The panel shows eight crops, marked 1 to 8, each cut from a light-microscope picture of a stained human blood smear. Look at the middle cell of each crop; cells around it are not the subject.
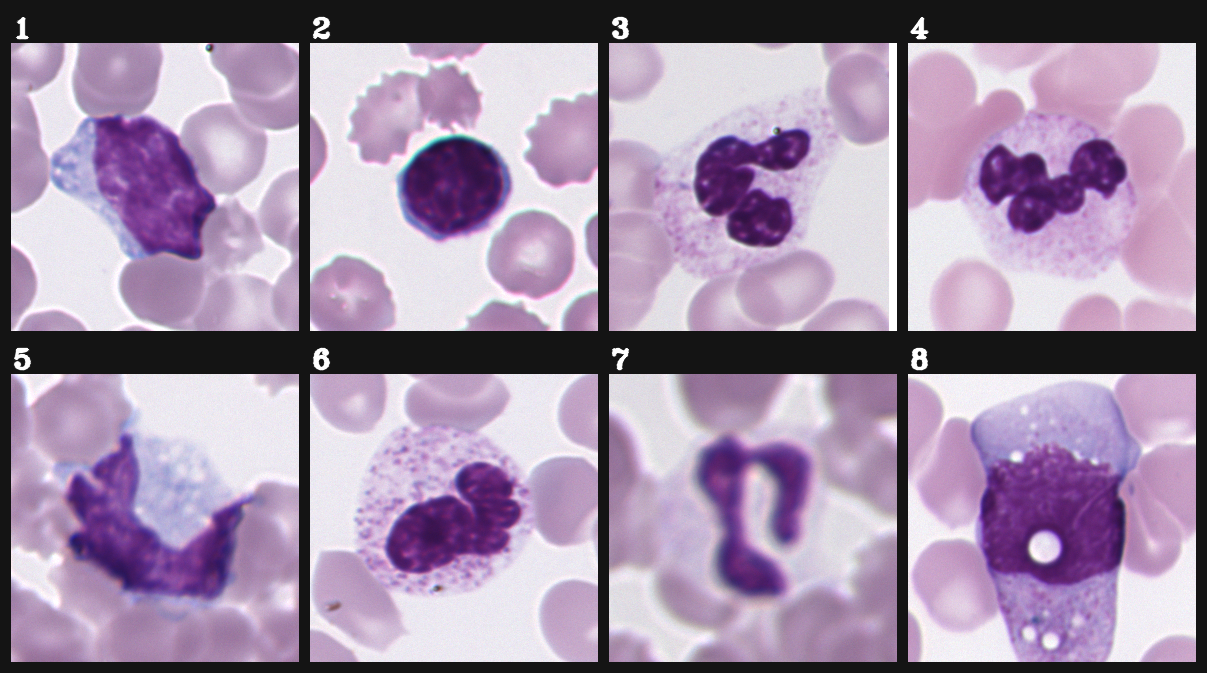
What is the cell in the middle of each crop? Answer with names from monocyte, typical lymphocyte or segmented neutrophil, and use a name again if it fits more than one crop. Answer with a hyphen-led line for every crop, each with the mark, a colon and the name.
- 1: typical lymphocyte
- 2: typical lymphocyte
- 3: segmented neutrophil
- 4: segmented neutrophil
- 5: monocyte
- 6: segmented neutrophil
- 7: segmented neutrophil
- 8: monocyte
